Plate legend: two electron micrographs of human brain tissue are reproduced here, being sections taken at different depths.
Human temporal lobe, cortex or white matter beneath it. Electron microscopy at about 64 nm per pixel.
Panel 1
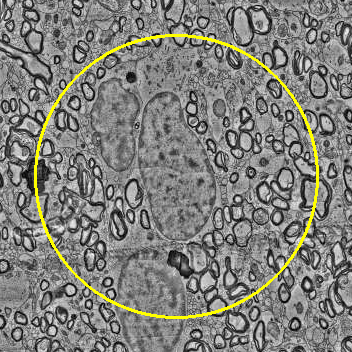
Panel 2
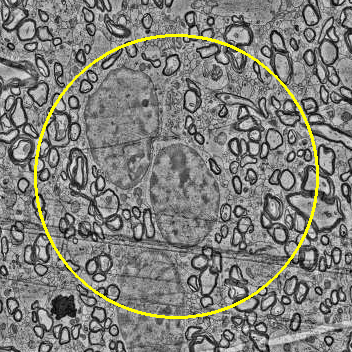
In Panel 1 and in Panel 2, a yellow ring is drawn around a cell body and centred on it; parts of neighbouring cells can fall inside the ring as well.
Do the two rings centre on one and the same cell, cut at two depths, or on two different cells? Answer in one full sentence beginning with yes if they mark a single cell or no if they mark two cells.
Yes, the same individual cell is enclosed by both rings.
